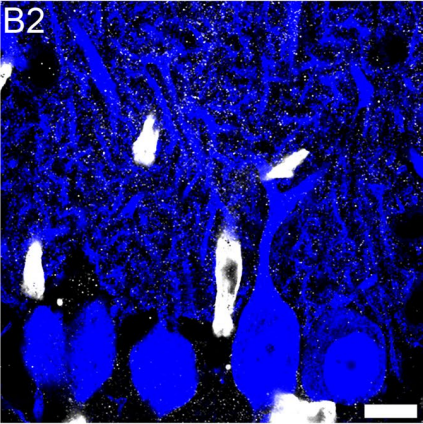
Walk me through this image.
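This is the cerebellar cortex with a row of large blue Purkinje cell bodies along the bottom and their finely branched dendrites filling the molecular layer above. The cell bodies are evenly blue, and one gives off a thick dendritic trunk that branches upward. Their surfaces and proximal trunks carry no white puncta. Faint fine white dots are scattered among the fine dendrites of the molecular layer. Several solid bright white elongated profiles, the blood vessels, lie between the cell bodies and among the dendrites.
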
